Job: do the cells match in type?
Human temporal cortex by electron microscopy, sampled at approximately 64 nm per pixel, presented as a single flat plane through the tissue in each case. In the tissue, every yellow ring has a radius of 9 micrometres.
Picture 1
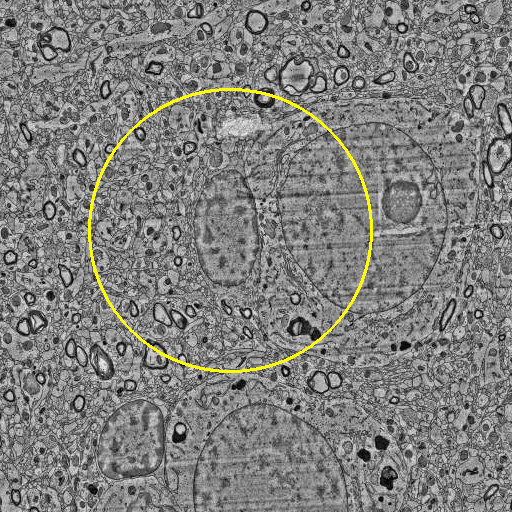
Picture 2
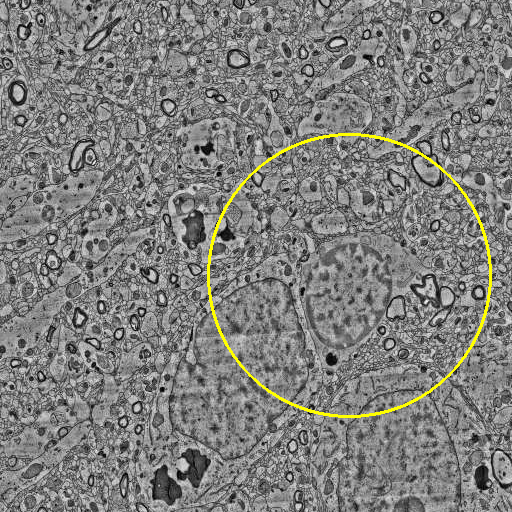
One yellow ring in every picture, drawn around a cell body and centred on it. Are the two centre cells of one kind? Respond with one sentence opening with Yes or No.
Yes, the ringed cells in the two pictures are of one and the same kind.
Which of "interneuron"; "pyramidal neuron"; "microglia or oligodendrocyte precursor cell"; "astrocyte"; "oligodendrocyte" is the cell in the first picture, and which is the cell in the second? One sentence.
Each cell, in the first picture and the second, is an oligodendrocyte.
